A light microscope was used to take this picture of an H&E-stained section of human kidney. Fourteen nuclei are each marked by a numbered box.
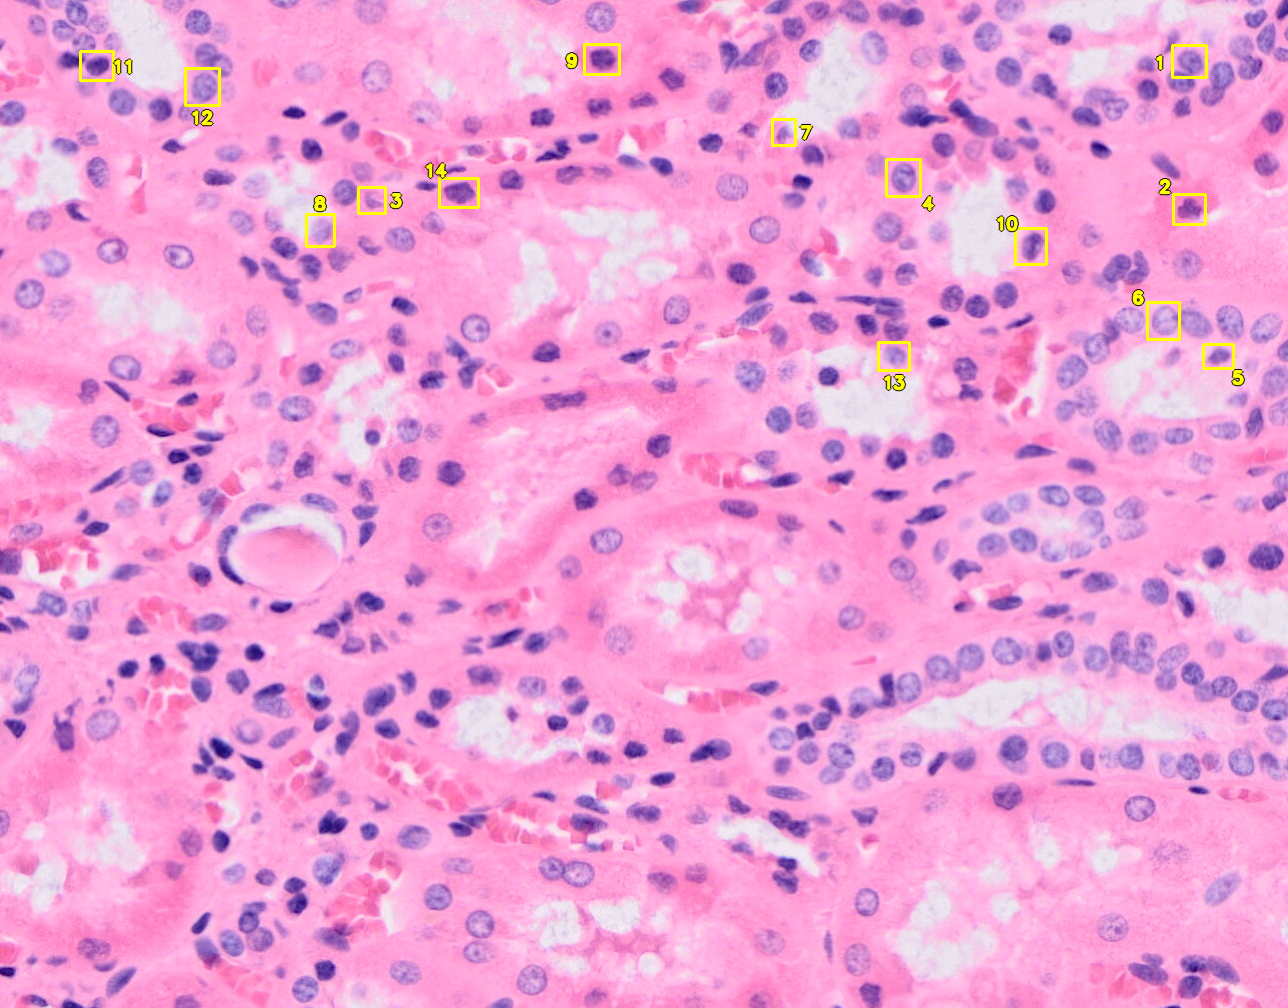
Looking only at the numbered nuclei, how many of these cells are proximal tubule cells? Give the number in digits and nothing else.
3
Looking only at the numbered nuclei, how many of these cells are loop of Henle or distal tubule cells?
6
